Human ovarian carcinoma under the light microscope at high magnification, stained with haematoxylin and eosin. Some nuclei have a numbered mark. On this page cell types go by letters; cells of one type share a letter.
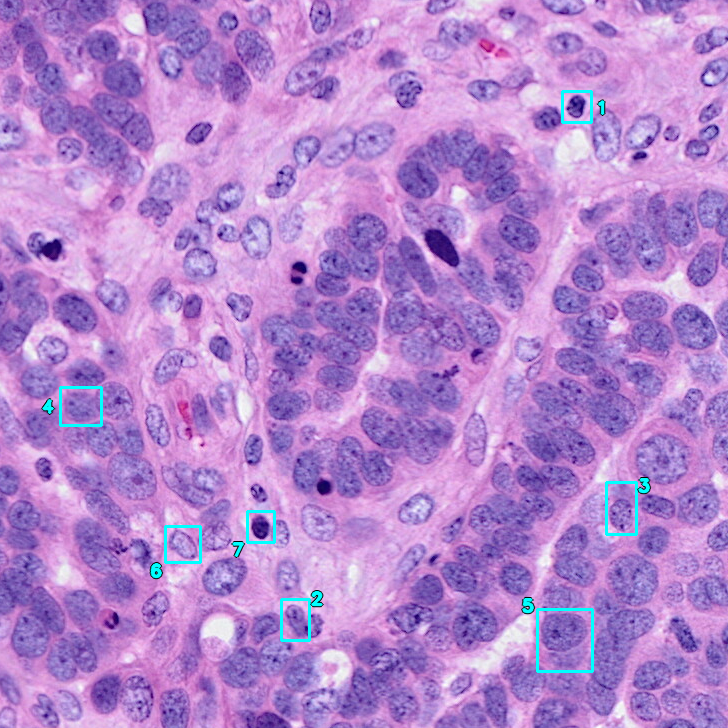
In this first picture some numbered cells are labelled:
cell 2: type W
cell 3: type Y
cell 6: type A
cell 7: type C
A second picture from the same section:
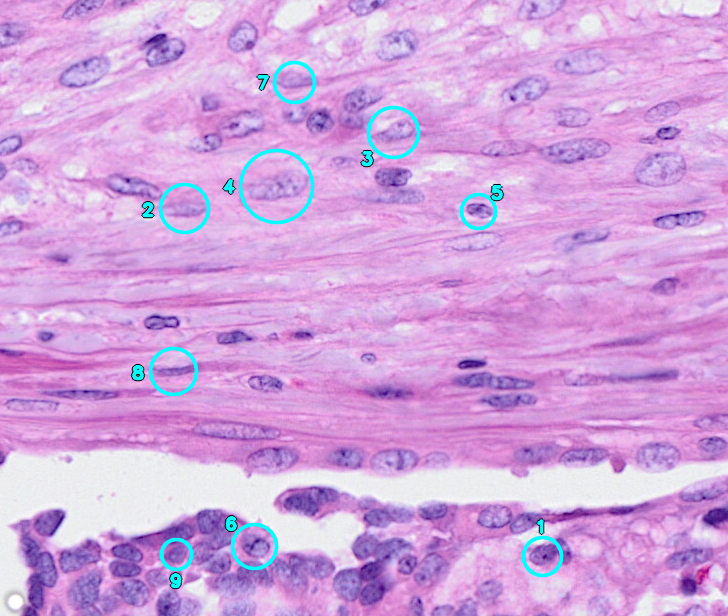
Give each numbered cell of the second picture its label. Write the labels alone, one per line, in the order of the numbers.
type W
type A
type A
type A
type C
type W
type A
type A
type Y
